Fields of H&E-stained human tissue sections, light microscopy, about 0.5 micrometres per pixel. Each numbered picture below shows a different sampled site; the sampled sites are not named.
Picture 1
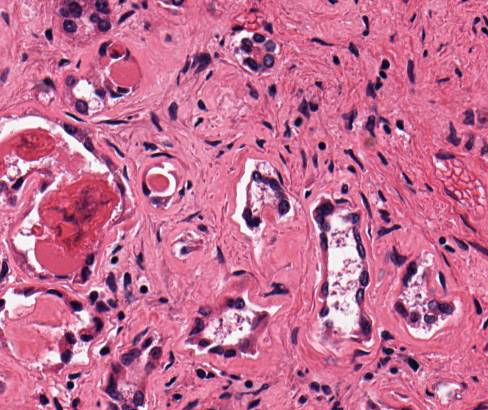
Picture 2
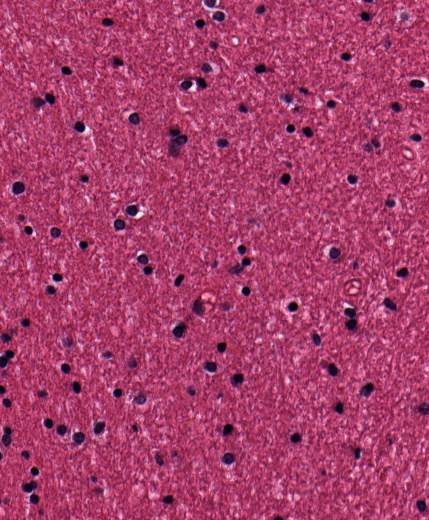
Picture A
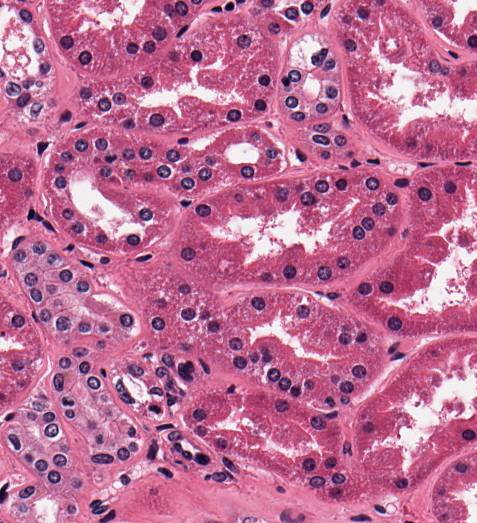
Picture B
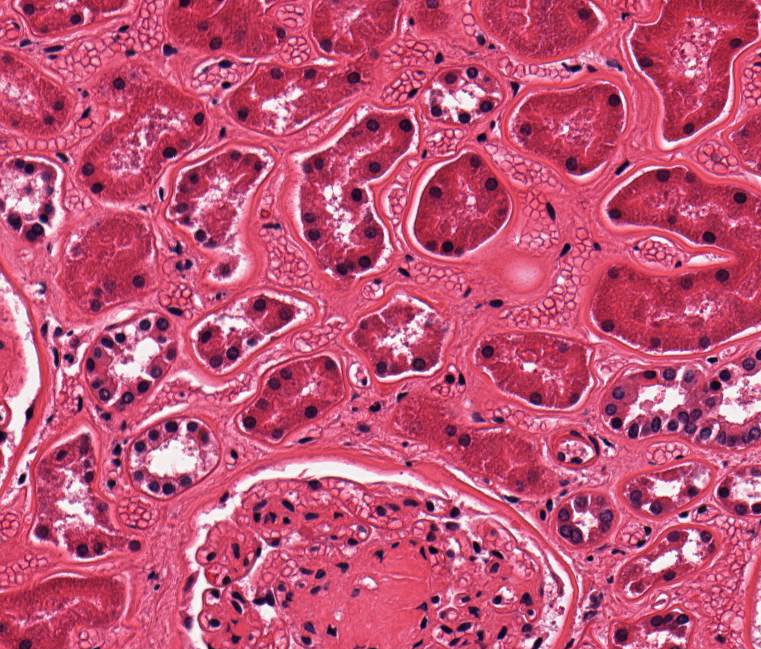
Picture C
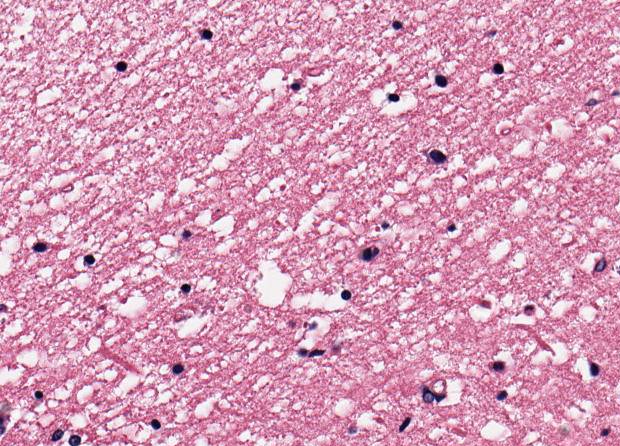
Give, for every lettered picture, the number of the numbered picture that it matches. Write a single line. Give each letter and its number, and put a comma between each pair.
A 1, B 1, C 2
